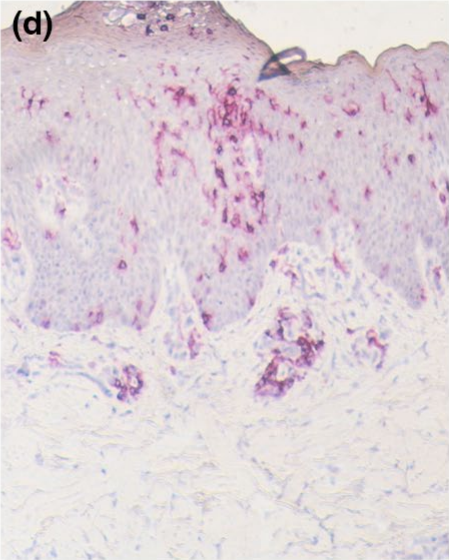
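This is inflamed skin in which the epidermis is markedly thickened, with long rete ridges pushing down into the dermis and a compact, scaly surface layer. Many magenta-stained cells with branching processes lie scattered through the epidermal layers, some in dense vertical groups. Further stained cells gather in clusters in the upper dermis between the ridges, while the deeper dermis is pale.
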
